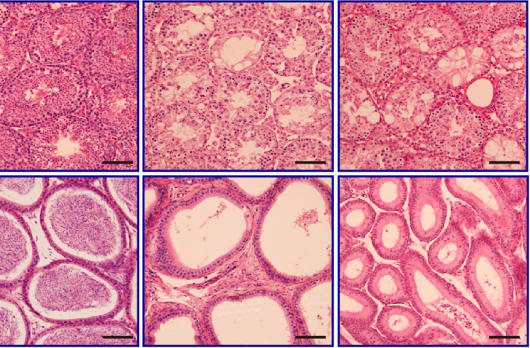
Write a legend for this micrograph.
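The top row shows cross-sections of seminiferous tubules of the testis, and the bottom row shows cross-sections of the epididymal duct, both stained pink and purple. In the left tubules, the wall is lined by a thick, many-layered epithelium of germ cells with purple nuclei, and the lumen holds fine material from the sperm. In the middle and right images, many tubules have open, pale lumina with less material inside, and the right image has one large, empty round space. In the bottom left image, each epididymal duct is lined by a neat layer of tall epithelial cells, and its lumen is packed with dense purple sperm. In the middle and right images, the duct lumina are mostly pale and empty, with little or no packed sperm inside.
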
